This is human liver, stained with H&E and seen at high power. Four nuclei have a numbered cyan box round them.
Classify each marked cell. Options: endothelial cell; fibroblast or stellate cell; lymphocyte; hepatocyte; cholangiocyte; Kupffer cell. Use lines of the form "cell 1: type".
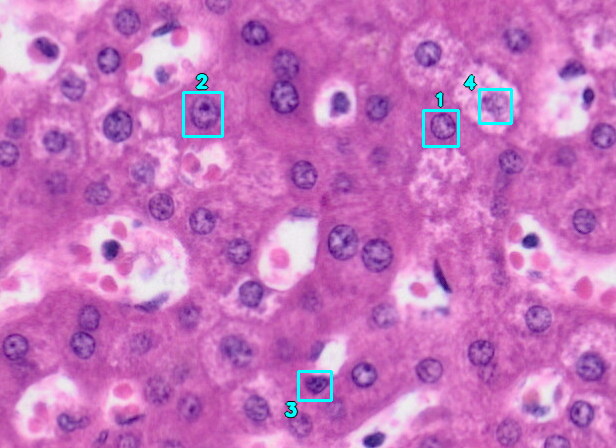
cell 1: hepatocyte
cell 2: hepatocyte
cell 3: fibroblast or stellate cell
cell 4: hepatocyte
